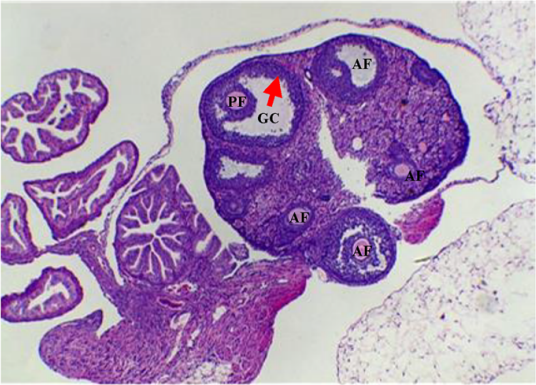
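Section of ovary in purple and pink, holding several growing follicles in a dense, darkly stained stroma. The largest follicle has a broad cavity and a thick cell wall bulging into it on one side. Smaller follicles with narrow cavities lie at the edge of the organ. Coiled tubes with folded, branching mucosa lie to the left of the ovary, and the whole is wrapped in a thin membrane.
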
